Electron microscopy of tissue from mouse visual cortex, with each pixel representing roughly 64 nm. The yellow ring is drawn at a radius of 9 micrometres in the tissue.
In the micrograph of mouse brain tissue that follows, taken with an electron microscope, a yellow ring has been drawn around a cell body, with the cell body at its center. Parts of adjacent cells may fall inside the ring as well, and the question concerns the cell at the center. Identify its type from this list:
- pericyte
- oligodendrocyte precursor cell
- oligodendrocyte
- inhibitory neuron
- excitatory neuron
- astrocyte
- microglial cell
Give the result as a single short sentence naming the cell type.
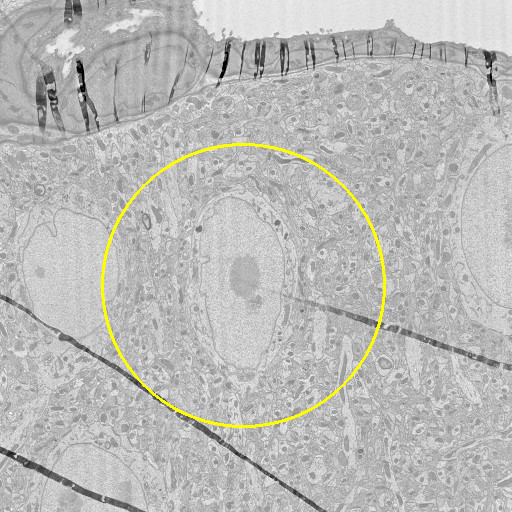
The ring is centered on an inhibitory neuron.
